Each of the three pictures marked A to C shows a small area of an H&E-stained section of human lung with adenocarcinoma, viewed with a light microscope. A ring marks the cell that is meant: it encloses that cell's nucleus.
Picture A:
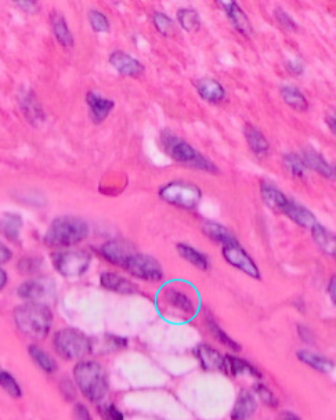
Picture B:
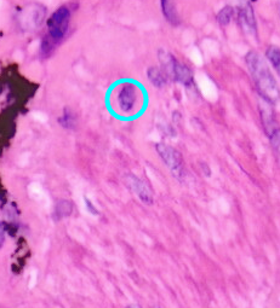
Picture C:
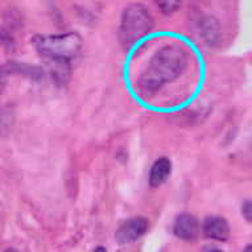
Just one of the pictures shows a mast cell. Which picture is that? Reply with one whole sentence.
It is picture B that shows the mast cell.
